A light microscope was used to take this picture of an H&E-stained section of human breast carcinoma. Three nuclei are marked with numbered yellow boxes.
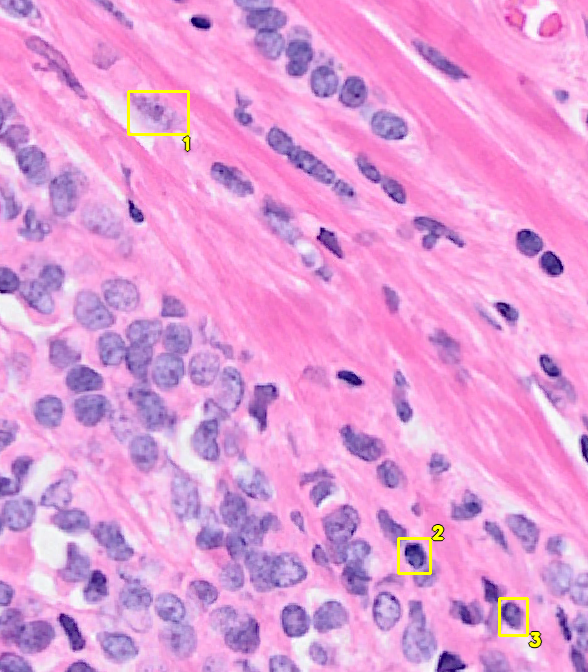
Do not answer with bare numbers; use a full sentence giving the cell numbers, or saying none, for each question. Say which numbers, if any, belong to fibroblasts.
It is cell 1, and no other numbered cell, that is a fibroblast.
